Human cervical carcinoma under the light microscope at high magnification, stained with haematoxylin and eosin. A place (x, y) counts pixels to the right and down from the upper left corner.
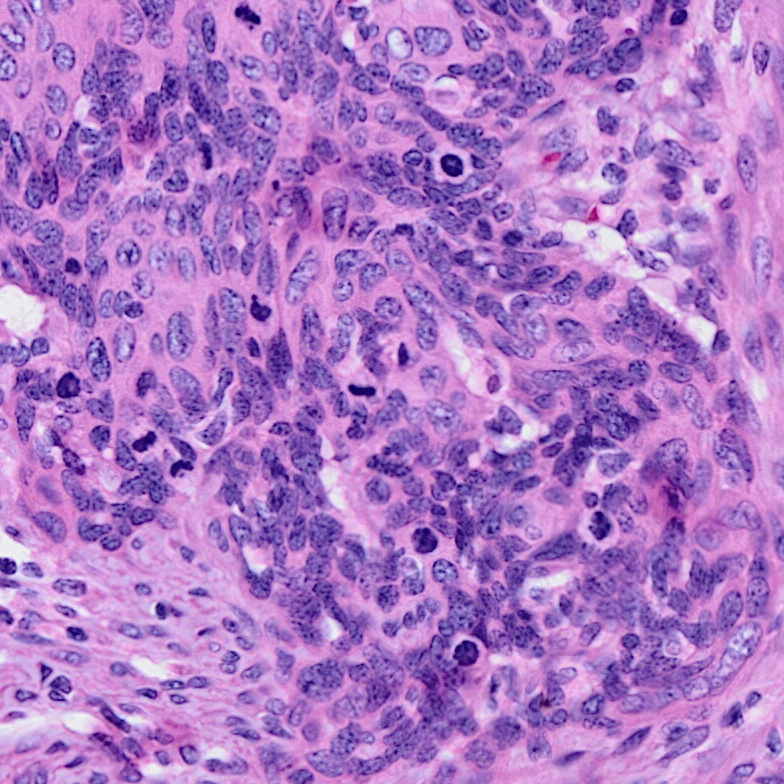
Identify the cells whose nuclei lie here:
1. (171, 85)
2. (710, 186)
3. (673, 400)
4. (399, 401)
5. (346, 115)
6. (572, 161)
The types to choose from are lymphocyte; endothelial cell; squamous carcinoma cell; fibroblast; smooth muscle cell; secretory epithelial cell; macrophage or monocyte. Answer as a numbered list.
1. squamous carcinoma cell
2. lymphocyte
3. squamous carcinoma cell
4. squamous carcinoma cell
5. squamous carcinoma cell
6. endothelial cell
